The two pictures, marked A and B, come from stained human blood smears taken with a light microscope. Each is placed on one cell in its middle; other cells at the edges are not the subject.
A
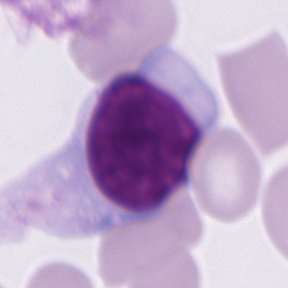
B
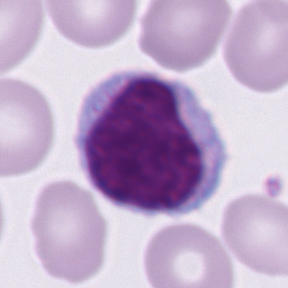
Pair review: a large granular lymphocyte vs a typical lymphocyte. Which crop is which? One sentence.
The cell in crop A is a large granular lymphocyte; the cell in crop B is a typical lymphocyte.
